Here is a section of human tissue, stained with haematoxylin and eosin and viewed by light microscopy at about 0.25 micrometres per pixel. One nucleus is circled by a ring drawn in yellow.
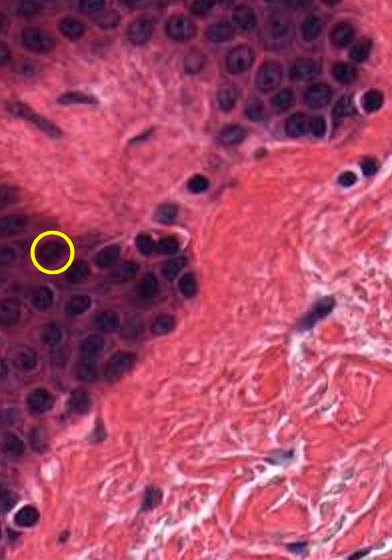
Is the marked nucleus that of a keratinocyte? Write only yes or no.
yes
